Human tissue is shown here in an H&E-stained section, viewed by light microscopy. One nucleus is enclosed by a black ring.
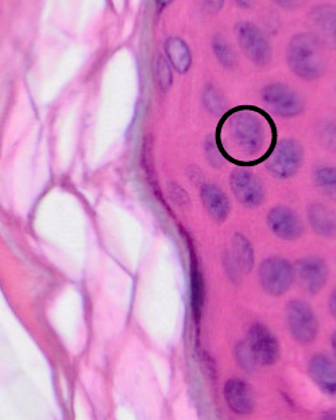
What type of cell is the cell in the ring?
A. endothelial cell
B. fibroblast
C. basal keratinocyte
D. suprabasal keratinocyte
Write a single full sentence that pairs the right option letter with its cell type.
Settle on option D; the cell in the ring is a suprabasal keratinocyte.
